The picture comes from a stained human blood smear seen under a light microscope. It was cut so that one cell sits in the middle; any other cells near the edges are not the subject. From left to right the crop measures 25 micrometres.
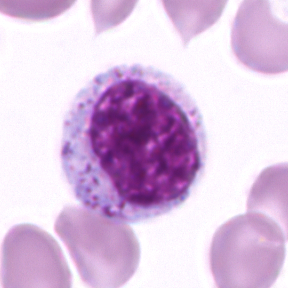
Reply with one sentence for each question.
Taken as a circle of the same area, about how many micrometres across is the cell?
The cell is about 13 micrometres across.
